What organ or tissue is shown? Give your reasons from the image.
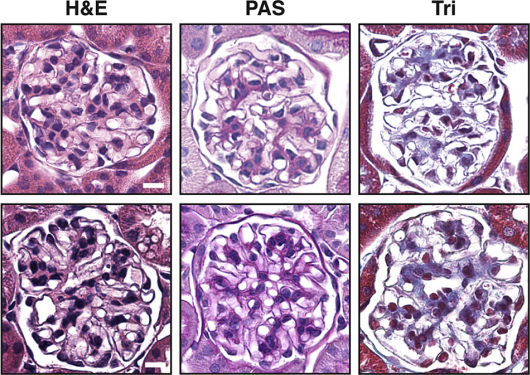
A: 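Each image is centred on a round tuft of capillary loops with many nuclei. The tuft is surrounded by a thin clear space and a thin outer capsule. Tubule sections border the round structure. The answer: glomeruli.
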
